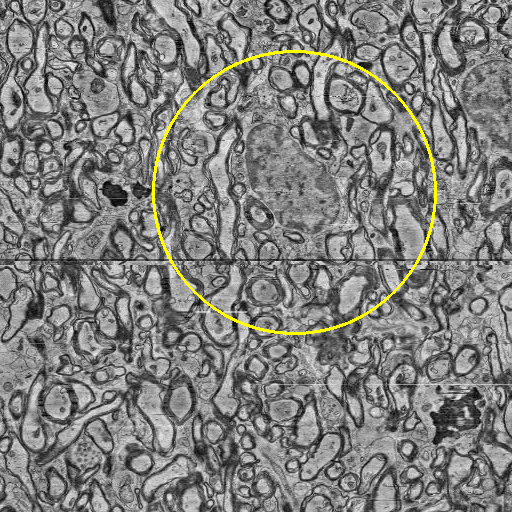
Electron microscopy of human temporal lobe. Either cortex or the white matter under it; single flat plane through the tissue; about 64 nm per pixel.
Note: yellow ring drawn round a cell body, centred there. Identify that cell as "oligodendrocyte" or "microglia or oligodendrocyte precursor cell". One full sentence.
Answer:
The cell in the middle of the ring is a microglial cell or oligodendrocyte precursor cell.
